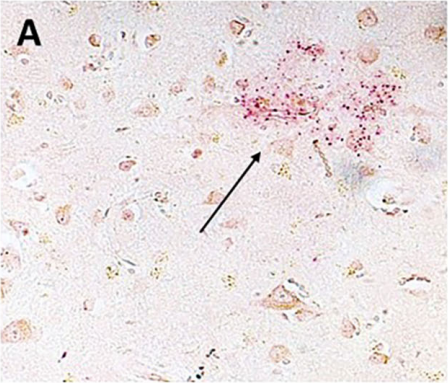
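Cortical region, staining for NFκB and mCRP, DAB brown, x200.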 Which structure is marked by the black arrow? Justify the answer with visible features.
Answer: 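The arrow points to a patch of pink-red granular deposit lying between cells. The deposit is speckled with small dark dots and is larger than the nearby cells.
Plaque-like material.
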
